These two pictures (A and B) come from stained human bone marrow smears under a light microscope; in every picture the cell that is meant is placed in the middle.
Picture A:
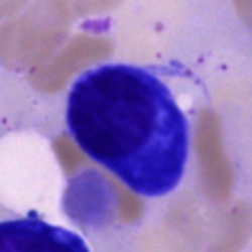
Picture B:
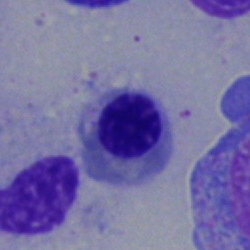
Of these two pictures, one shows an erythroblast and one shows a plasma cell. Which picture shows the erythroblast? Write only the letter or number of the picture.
B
